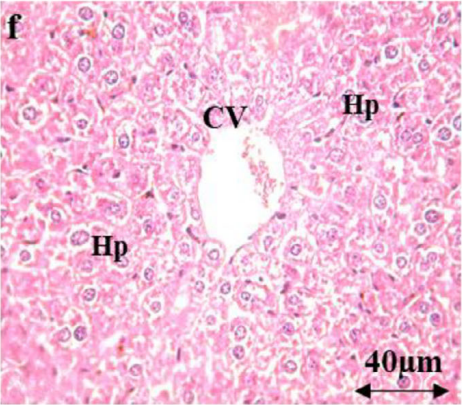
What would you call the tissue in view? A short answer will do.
Liver.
